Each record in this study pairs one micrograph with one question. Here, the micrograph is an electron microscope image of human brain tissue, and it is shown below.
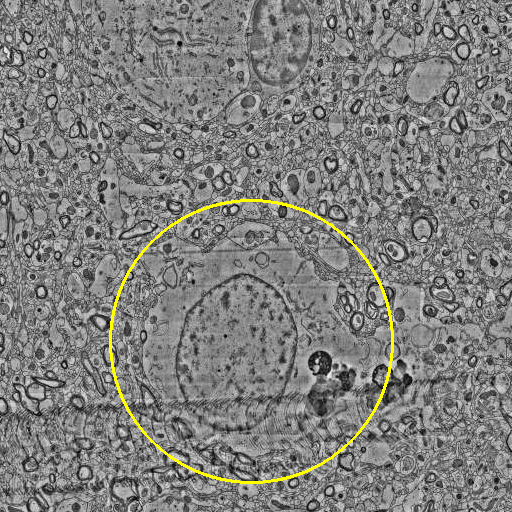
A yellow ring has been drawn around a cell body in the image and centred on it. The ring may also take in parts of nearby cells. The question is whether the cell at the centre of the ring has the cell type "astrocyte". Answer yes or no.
yes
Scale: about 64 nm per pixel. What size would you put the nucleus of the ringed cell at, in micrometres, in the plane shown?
The nucleus works out at approximately 10 by 8 micrometres in this plane.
